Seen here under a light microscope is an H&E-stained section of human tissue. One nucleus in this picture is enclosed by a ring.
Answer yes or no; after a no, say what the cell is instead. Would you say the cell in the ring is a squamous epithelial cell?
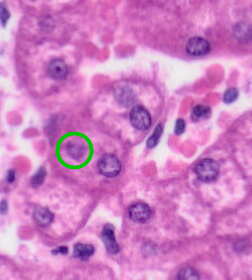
No, it is a hepatocyte.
